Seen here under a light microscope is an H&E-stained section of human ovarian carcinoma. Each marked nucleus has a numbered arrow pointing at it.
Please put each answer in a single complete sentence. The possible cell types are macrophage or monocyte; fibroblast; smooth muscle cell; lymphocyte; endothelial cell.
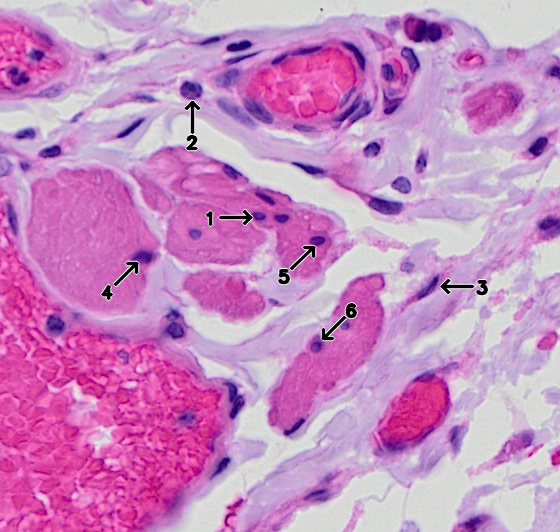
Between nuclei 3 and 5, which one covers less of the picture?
With nucleus 3 about 2 times its size, nucleus 5 is the smaller of the two.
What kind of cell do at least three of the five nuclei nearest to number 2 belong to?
The majority of the five nuclei closest to number 2 belong to fibroblasts.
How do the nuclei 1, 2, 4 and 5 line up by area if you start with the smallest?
From smallest to largest, the order is 1, 5, 4, 2.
